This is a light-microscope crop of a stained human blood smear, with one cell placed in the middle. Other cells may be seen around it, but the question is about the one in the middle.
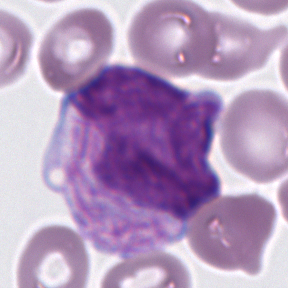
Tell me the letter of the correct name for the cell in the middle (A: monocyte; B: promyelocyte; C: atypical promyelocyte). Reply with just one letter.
C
